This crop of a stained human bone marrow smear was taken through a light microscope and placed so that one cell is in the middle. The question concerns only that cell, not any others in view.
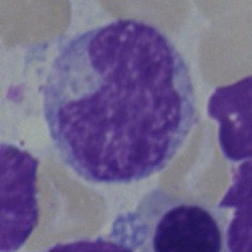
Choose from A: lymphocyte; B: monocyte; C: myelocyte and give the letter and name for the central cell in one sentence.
Seen at the centre of the crop is a monocyte, so option B is correct.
